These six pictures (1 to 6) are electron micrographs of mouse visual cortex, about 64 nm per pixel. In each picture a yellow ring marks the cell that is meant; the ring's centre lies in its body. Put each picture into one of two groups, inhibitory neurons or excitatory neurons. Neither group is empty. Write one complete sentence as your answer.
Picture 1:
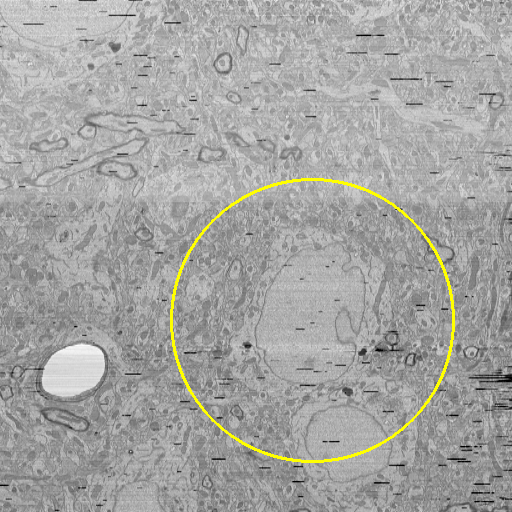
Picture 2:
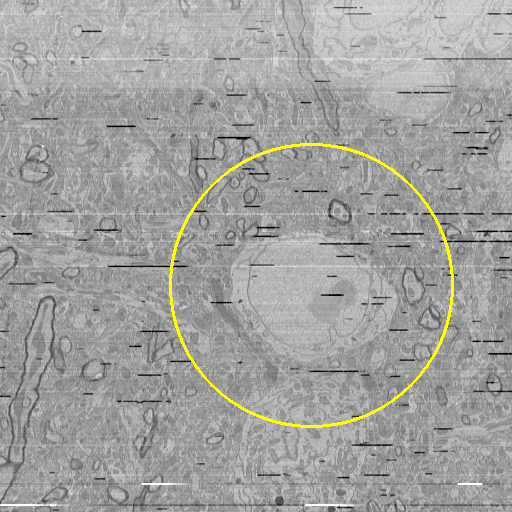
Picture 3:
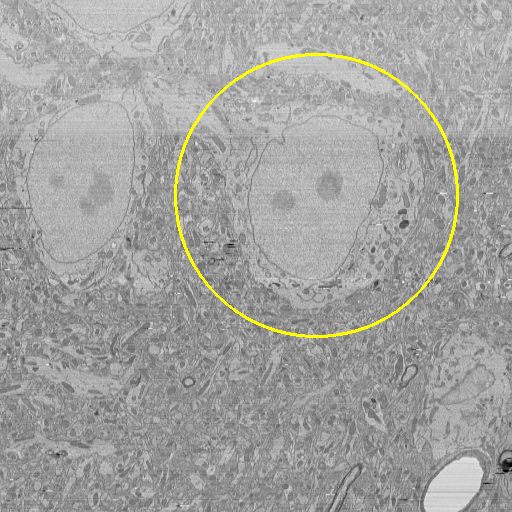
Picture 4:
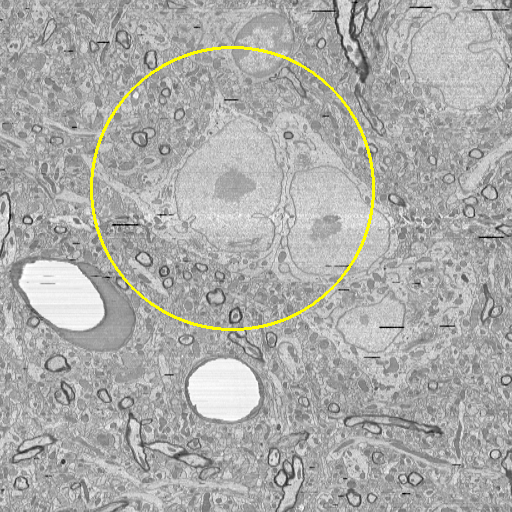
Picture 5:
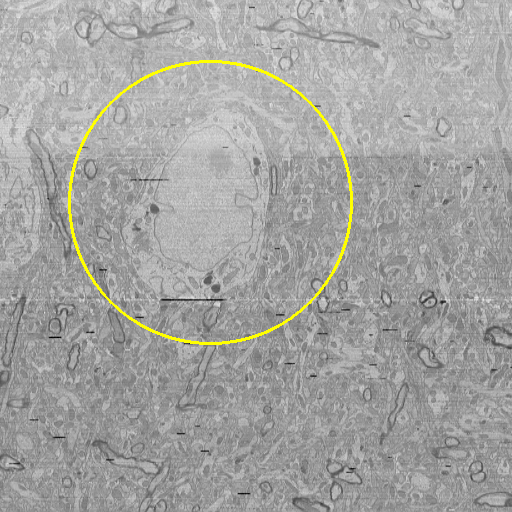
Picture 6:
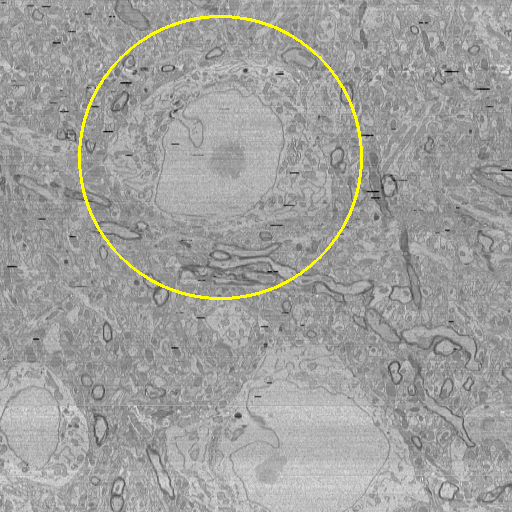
Pictures 4 and 6 show inhibitory neurons; pictures 1, 2, 3 and 5 show excitatory neurons.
